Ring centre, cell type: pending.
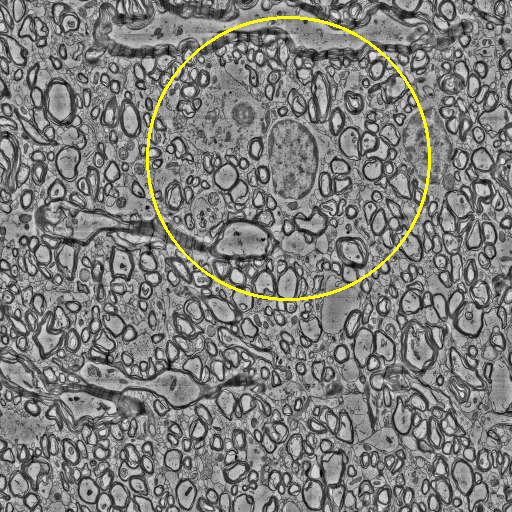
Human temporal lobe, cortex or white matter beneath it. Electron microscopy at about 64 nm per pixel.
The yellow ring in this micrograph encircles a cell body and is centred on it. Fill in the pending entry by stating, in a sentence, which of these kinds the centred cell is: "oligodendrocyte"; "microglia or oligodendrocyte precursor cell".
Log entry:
The centred cell is recorded as a microglial cell or oligodendrocyte precursor cell.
